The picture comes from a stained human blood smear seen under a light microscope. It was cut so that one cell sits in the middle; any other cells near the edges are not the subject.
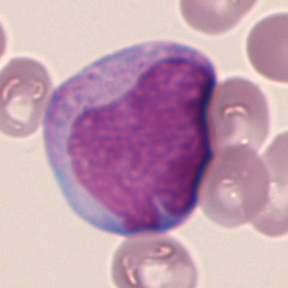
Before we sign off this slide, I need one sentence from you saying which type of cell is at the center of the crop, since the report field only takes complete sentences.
Looking at the middle of the crop, the cell there is an atypical promyelocyte.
